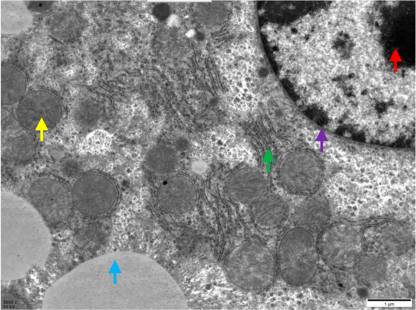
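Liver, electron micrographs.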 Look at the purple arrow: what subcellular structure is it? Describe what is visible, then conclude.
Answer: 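The arrow points to the thin dark boundary line of the nucleus. The boundary separates the nuclear contents from the cytoplasm with organelles.
Conclusion: nuclear membrane structure of the nucleus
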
